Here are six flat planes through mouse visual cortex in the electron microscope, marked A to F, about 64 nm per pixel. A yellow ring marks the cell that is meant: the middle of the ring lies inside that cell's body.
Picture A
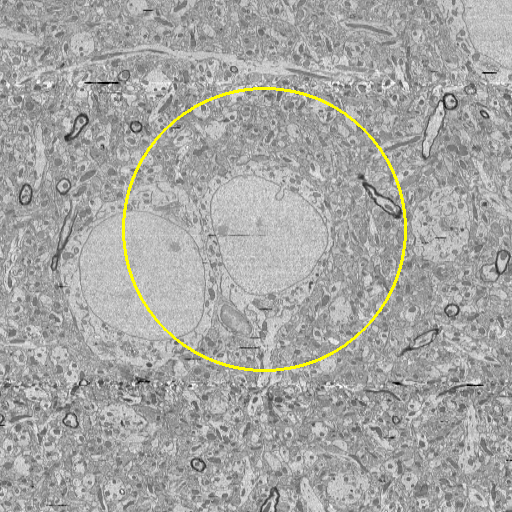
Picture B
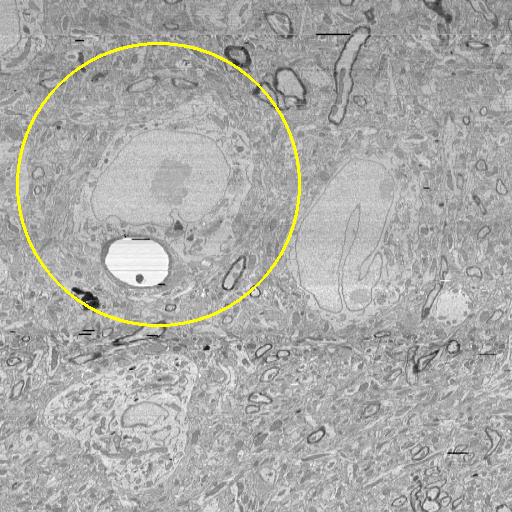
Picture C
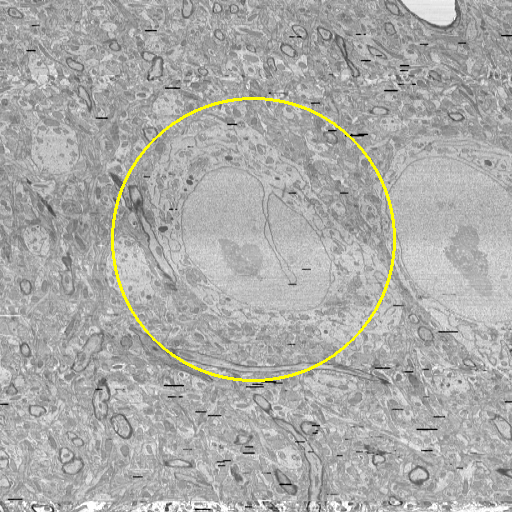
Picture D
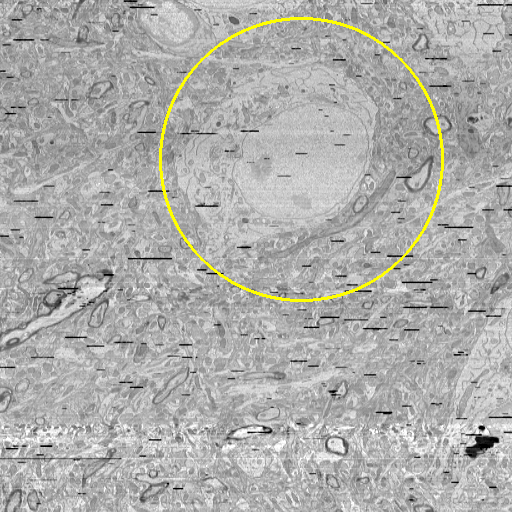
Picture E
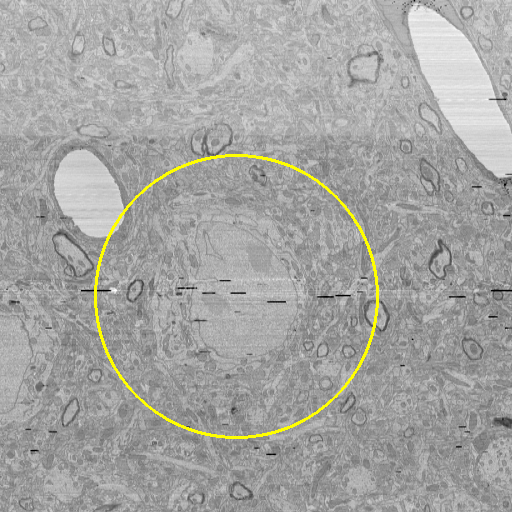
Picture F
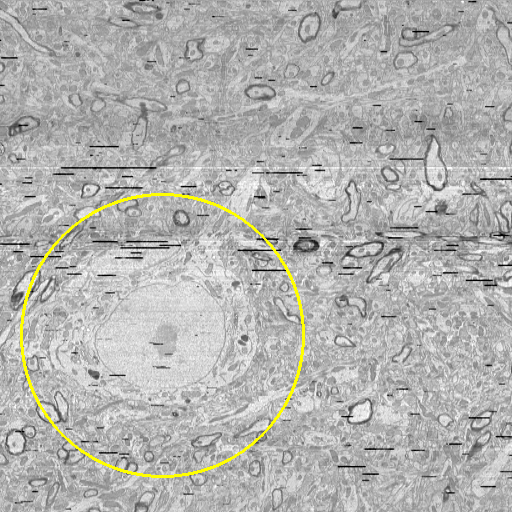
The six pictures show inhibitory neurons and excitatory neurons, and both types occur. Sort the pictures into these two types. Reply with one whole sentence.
Pictures C and E show inhibitory neurons; pictures A, B, D and F show excitatory neurons.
